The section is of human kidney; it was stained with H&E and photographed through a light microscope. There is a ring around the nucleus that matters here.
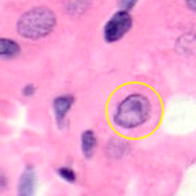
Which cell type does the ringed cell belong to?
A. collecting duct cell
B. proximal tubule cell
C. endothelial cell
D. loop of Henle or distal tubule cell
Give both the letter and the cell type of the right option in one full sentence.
The correct identification, the ringed cell as a proximal tubule cell, is given by option B.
